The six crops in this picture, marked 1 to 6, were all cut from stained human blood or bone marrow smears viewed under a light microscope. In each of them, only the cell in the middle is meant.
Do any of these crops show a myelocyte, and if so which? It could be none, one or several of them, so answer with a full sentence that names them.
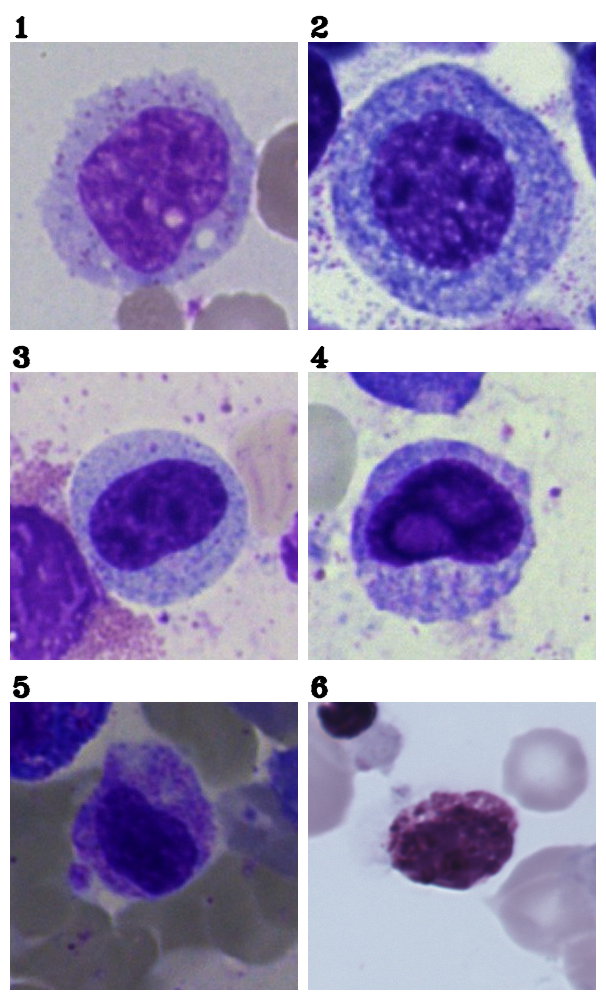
In crops 1, 3, 4 and 5, the centrally located cells represent myelocytes.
